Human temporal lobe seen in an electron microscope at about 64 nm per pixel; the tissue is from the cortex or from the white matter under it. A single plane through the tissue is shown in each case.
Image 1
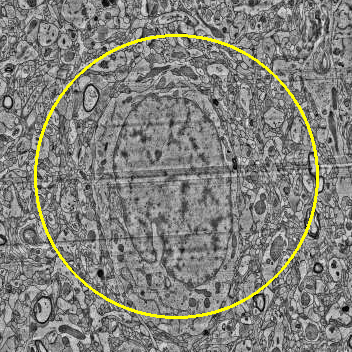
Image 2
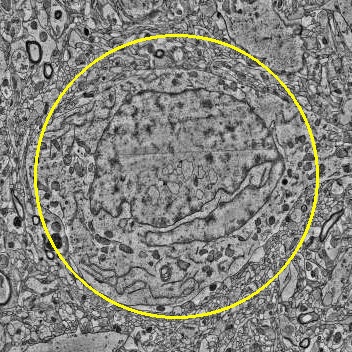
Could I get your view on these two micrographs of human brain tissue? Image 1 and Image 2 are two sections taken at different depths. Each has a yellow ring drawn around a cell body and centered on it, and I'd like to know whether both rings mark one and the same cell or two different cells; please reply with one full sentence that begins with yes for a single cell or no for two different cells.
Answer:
No, these yellow rings each mark a separate cell.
